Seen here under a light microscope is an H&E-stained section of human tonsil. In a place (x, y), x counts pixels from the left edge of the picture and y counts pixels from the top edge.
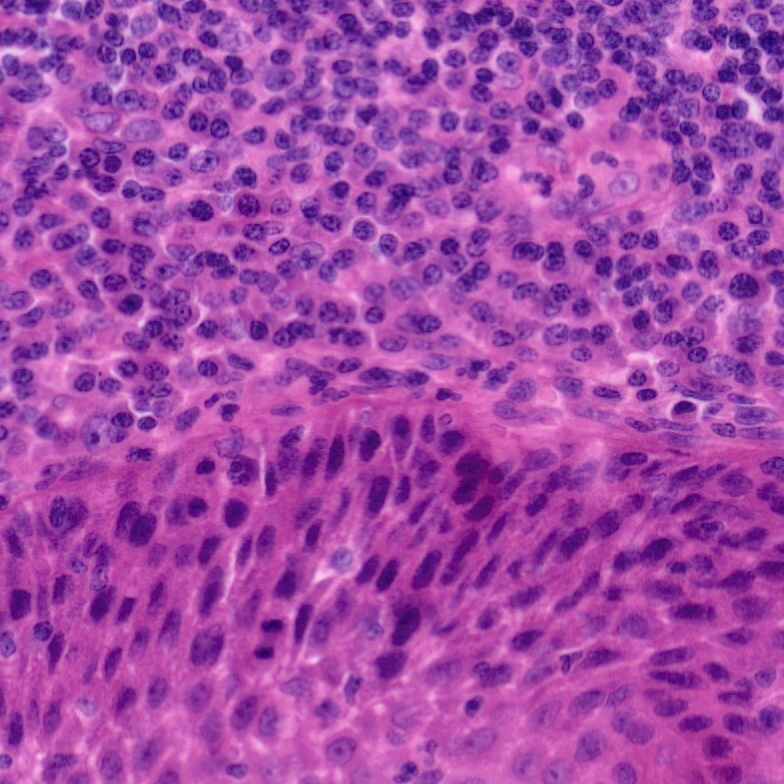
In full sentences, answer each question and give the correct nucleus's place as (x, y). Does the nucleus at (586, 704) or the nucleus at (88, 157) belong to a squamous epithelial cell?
Between the pair, the nucleus at (586, 704) belongs to a squamous epithelial cell.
